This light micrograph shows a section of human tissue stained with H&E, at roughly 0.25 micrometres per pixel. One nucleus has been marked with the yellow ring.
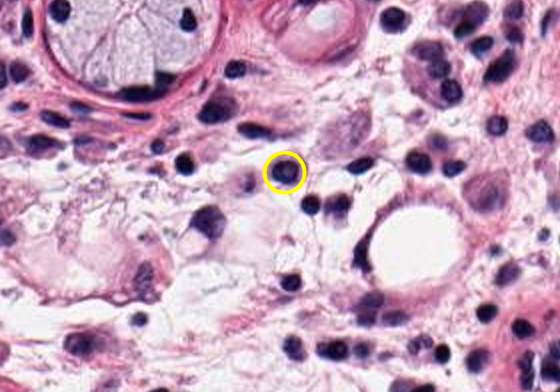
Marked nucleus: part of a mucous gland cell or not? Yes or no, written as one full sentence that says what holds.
No, a supporting cell, not a mucous gland cell, carries the marked nucleus.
